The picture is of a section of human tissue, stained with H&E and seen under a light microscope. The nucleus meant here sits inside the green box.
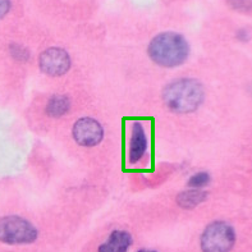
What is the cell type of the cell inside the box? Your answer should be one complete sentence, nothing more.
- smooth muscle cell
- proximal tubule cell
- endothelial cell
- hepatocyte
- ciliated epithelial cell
The expected answer is simply that the cell inside the box is an endothelial cell.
